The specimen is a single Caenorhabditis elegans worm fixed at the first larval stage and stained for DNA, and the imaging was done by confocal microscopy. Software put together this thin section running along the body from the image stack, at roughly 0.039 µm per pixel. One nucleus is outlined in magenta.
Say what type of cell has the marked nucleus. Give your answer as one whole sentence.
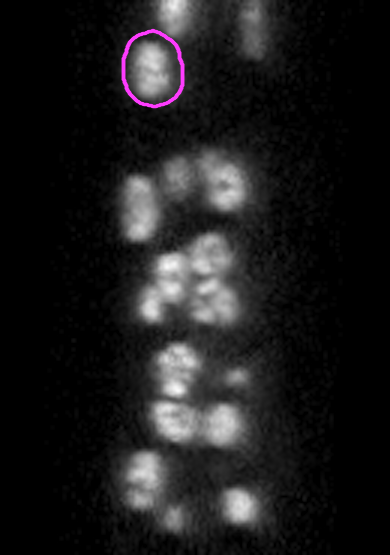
What is marked is the nucleus of a P cell (ventral epidermal blast cell).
